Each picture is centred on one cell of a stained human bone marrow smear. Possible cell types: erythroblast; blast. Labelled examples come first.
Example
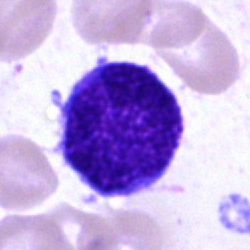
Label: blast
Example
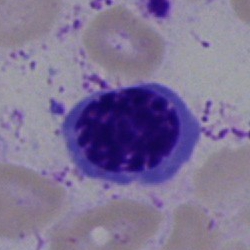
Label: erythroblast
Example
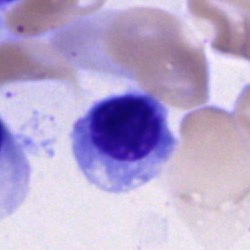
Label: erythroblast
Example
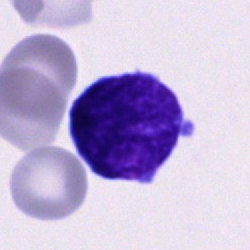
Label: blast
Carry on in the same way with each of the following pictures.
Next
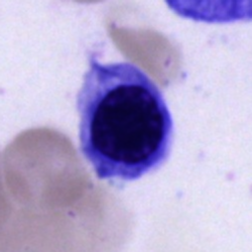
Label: erythroblast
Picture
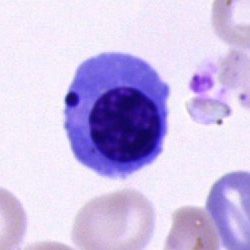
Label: erythroblast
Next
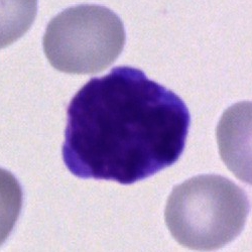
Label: blast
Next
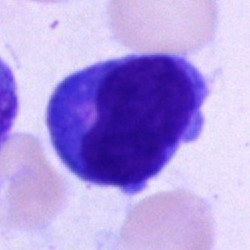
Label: blast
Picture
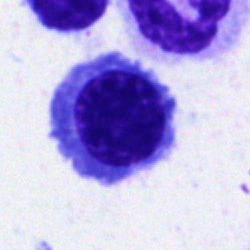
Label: erythroblast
